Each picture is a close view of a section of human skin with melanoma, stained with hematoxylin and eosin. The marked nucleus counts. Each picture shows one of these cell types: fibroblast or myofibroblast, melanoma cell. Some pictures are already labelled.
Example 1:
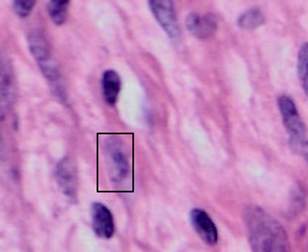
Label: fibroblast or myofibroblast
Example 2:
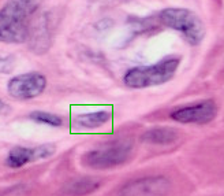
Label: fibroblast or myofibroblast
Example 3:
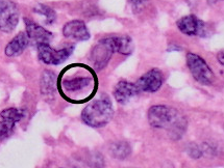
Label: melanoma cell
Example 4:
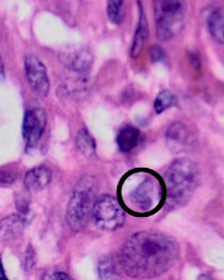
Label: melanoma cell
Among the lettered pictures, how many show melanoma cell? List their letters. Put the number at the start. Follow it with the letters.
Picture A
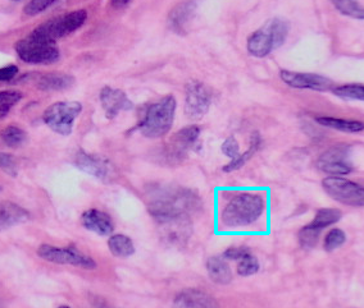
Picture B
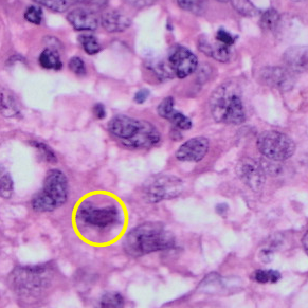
1, namely B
